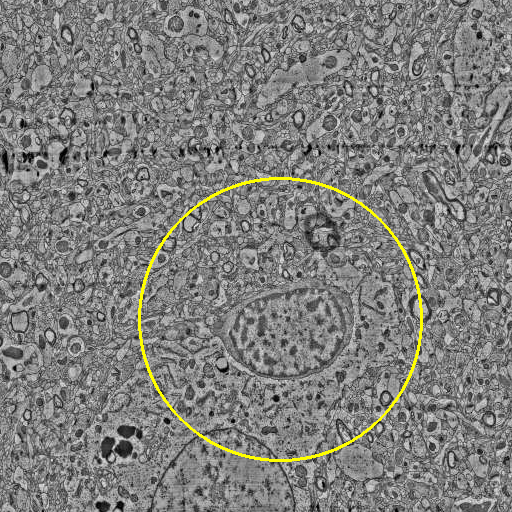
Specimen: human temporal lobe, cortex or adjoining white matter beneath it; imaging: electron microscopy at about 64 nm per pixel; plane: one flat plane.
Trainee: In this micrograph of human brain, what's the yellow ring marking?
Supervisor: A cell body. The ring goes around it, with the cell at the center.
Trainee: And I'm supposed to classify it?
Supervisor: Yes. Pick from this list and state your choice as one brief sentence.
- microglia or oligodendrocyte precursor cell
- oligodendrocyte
The cell at the ring's center is an oligodendrocyte.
